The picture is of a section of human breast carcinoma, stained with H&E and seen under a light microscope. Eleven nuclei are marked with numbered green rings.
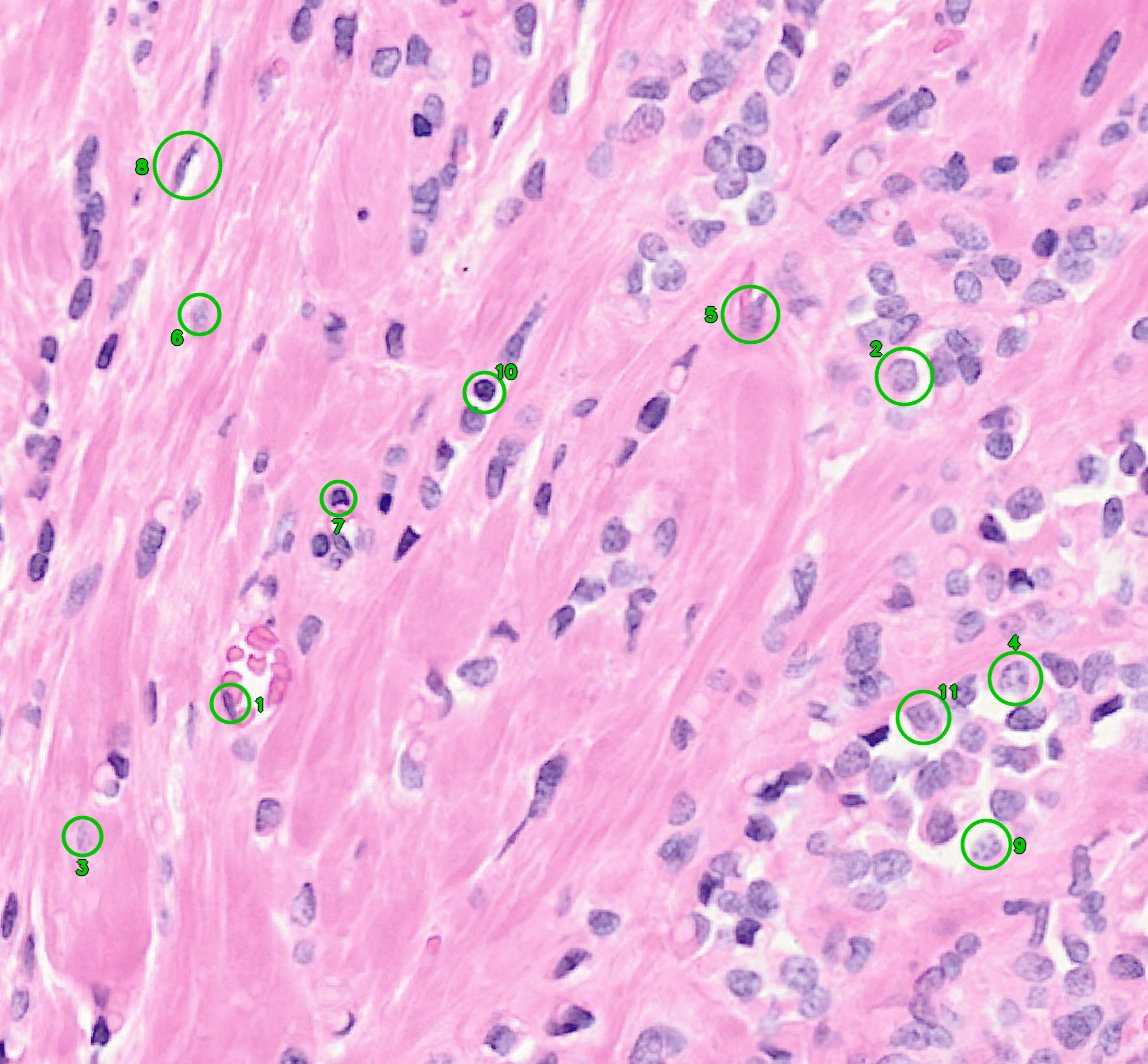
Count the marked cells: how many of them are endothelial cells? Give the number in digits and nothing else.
3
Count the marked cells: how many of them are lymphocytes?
1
